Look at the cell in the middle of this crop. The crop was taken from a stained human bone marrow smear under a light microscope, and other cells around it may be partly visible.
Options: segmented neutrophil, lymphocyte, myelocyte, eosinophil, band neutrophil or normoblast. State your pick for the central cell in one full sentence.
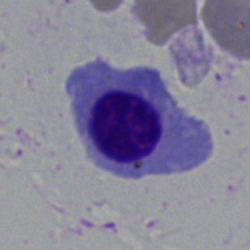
On this slide crop, the central cell is a normoblast.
